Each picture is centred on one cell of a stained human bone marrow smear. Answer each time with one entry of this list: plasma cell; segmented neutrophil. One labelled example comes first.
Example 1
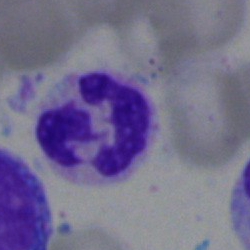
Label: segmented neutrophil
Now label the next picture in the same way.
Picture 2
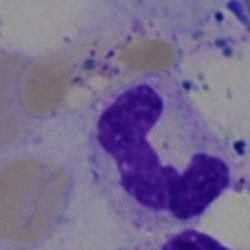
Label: segmented neutrophil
